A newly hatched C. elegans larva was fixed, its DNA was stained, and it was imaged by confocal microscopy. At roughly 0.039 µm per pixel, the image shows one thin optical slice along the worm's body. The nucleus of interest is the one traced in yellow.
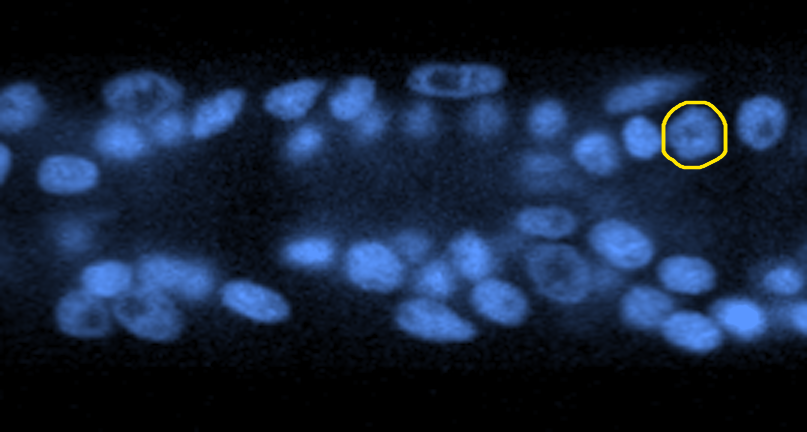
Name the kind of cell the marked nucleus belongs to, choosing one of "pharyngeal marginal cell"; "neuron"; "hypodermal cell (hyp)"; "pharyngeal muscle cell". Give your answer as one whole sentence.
The cell with the marked nucleus is a pharyngeal muscle cell.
